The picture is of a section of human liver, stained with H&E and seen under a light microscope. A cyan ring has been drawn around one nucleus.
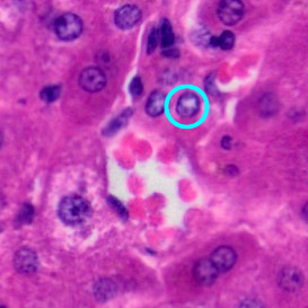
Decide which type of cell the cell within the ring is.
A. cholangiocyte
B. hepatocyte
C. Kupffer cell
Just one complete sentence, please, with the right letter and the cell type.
Here the correct option is A, since the cell within the ring is a cholangiocyte.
